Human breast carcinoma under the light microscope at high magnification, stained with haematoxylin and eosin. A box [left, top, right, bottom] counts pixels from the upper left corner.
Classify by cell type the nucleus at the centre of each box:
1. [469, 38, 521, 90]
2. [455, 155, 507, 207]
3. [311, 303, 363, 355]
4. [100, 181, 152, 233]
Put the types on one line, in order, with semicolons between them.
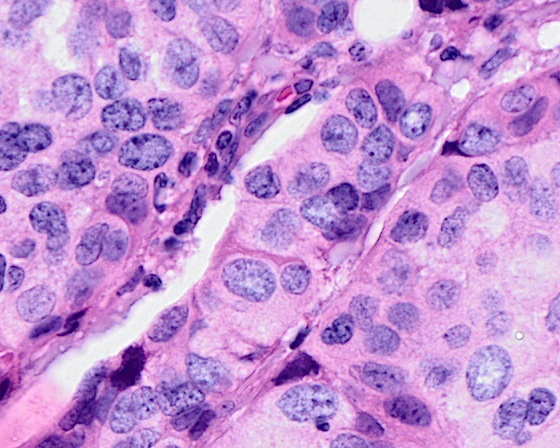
macrophage, monocyte or dendritic cell; carcinoma cell; carcinoma cell; carcinoma cell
